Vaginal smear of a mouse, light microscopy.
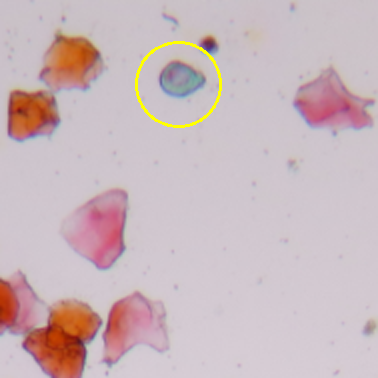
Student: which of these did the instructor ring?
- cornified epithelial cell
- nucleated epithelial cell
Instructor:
The cell I ringed is a nucleated epithelial cell.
